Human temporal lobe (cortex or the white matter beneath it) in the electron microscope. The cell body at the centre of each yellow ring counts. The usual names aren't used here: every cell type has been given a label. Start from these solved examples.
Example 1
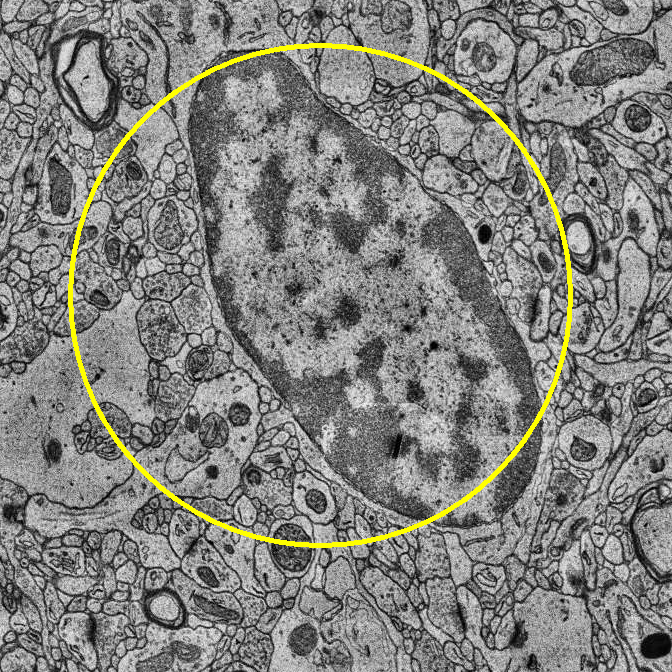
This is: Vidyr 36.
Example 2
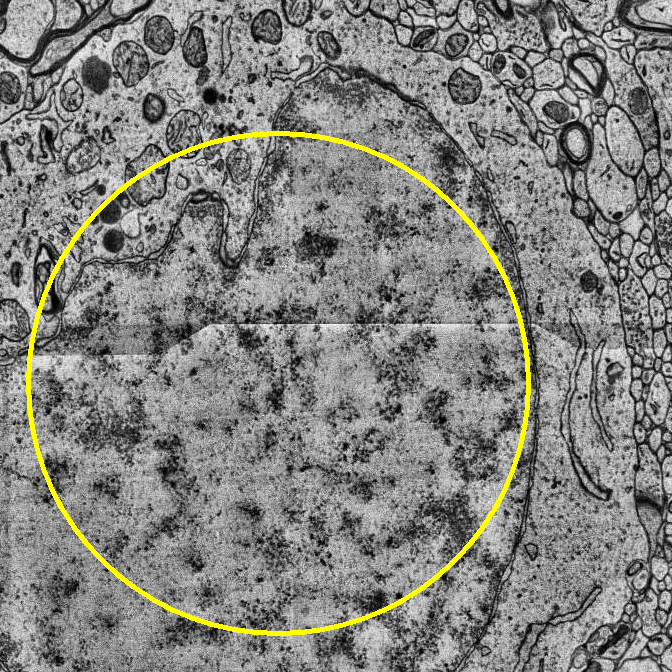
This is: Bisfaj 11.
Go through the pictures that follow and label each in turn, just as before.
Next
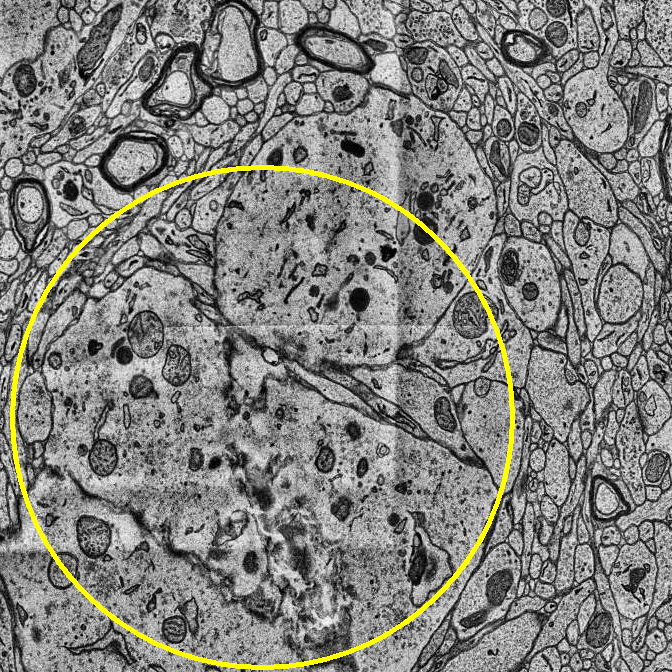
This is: Bisfaj 11.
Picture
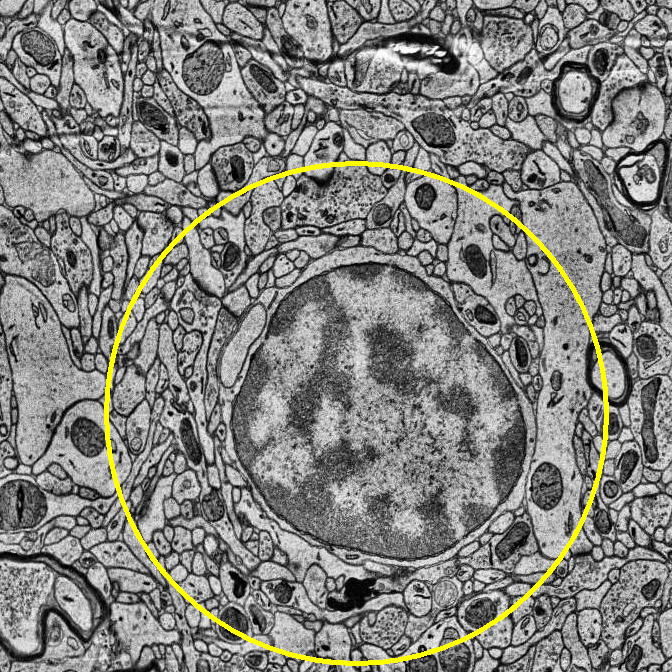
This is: Vidyr 36.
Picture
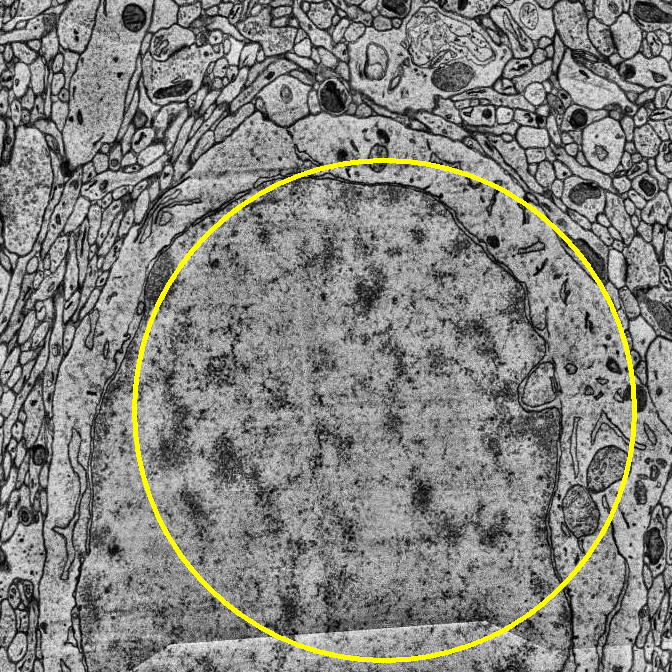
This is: Bisfaj 11.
